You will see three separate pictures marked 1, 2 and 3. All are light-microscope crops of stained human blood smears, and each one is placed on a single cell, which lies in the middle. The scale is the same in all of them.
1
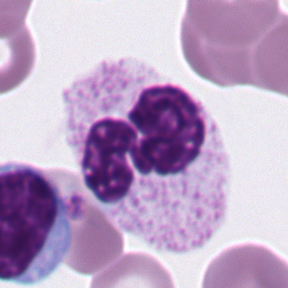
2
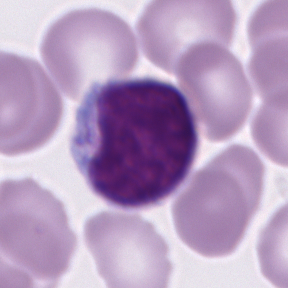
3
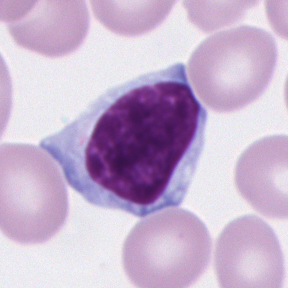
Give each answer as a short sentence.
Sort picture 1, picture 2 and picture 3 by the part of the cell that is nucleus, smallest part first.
The least filled comes first: 1, 3, 2.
